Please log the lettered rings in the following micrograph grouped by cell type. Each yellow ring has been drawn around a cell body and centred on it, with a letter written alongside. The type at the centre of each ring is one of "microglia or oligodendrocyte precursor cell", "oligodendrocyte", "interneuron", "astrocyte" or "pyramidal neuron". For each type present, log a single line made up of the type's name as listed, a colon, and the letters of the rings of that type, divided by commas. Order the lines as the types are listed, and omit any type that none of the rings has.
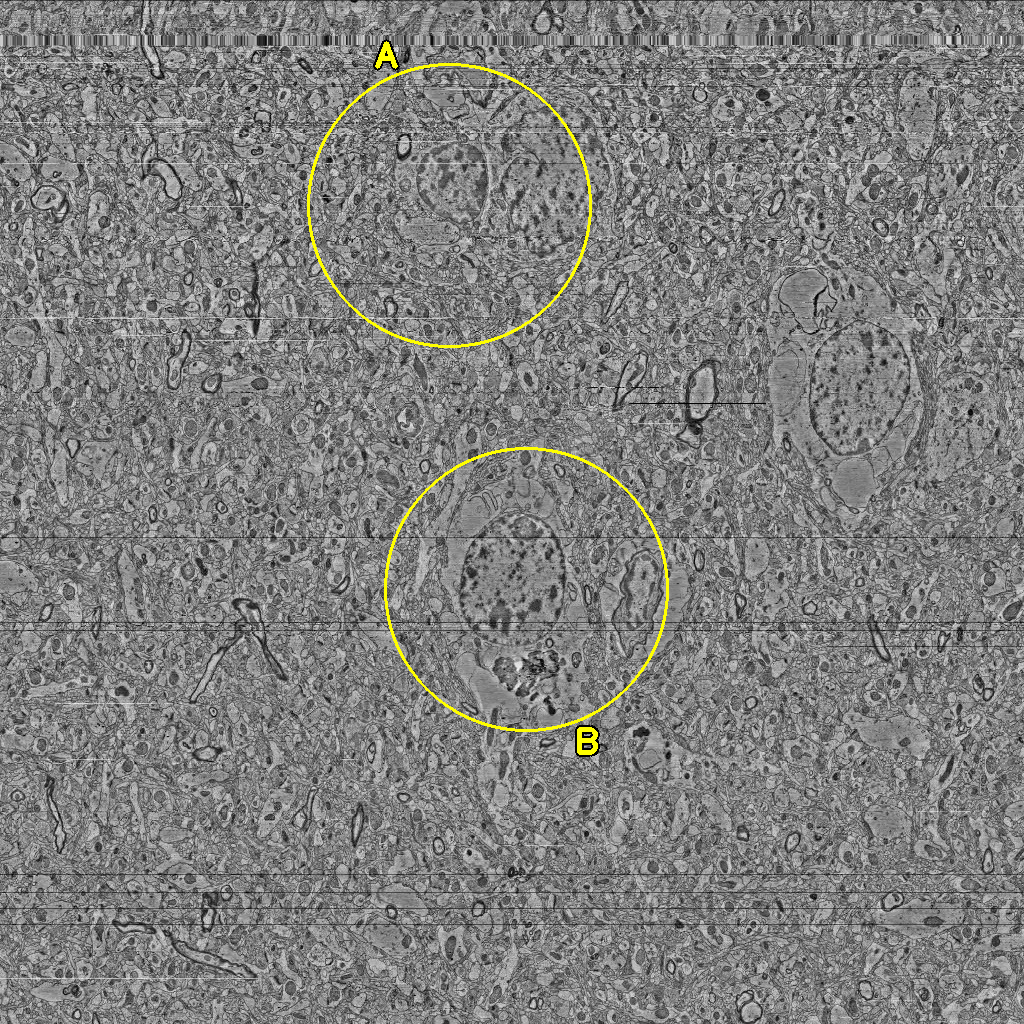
oligodendrocyte: A
astrocyte: B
